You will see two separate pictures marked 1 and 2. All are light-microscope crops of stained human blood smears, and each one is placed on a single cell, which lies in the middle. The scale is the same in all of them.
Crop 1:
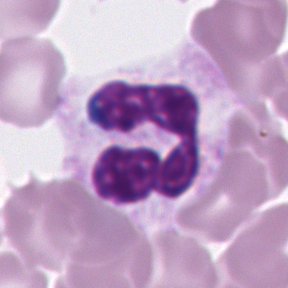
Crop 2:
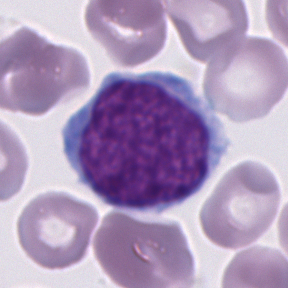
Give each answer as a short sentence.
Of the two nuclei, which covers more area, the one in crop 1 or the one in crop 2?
It is the nucleus in crop 2, about 1.5 times as large in area as the one in crop 1.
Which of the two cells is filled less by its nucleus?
In crop 1 the nucleus takes up the smaller part of its cell.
